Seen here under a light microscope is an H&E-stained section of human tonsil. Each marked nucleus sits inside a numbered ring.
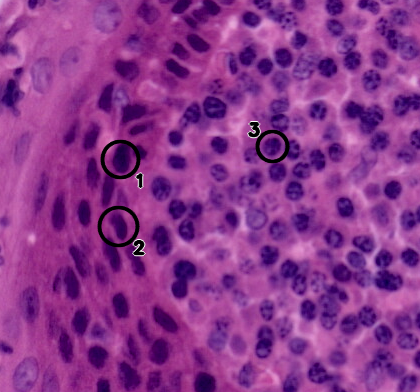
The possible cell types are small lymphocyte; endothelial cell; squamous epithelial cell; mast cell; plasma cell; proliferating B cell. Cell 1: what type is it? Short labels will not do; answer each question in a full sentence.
What the number 1 marks in this field is a squamous epithelial cell.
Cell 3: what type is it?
The nucleus labeled 3 belongs to a plasma cell.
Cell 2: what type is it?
The identity of cell 2 is that of a squamous epithelial cell.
